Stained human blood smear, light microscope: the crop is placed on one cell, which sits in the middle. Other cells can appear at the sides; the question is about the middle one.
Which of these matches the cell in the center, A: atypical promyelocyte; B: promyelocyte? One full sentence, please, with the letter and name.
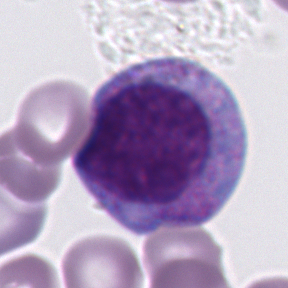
In this crop the middle cell is a promyelocyte, so option B is the correct answer.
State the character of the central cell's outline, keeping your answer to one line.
The cell shows a smooth outline that lacks any surface projections.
